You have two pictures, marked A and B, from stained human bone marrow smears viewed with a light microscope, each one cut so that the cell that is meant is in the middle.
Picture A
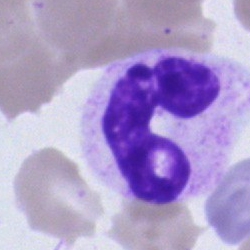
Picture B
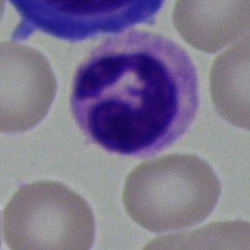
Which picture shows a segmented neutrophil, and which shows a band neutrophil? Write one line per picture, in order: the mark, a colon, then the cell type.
A: band neutrophil
B: segmented neutrophil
